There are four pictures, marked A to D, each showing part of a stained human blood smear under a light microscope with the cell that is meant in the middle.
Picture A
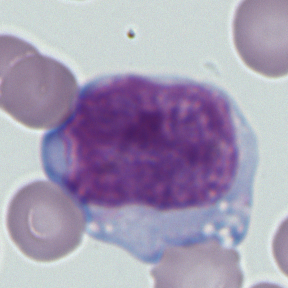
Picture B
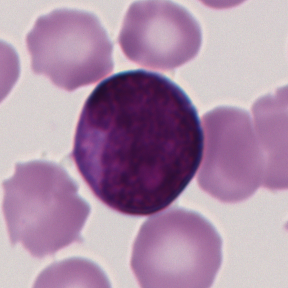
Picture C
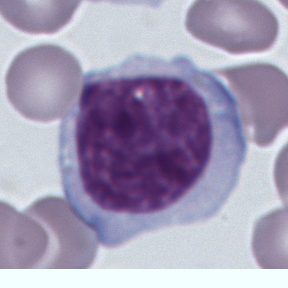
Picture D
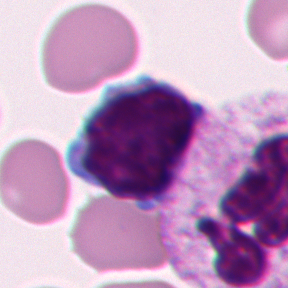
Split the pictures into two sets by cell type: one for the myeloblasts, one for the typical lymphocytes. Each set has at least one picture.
A: myeloblast
B: myeloblast
C: myeloblast
D: typical lymphocyte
